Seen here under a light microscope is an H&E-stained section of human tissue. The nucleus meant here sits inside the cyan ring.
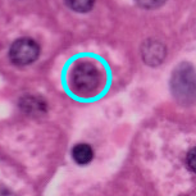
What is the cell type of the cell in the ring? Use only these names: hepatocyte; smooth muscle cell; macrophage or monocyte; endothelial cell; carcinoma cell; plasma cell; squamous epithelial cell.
hepatocyte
